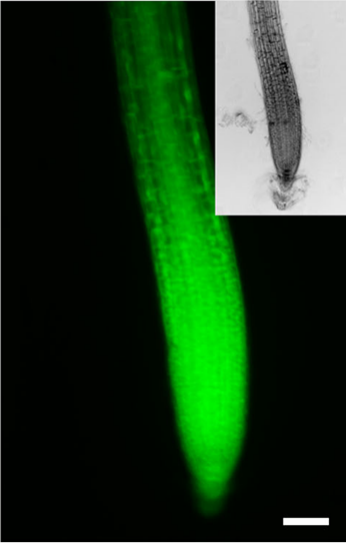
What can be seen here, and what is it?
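This is the tip of a young root, seen in green fluorescence, covering the meristematic area where small cells divide. The root narrows to a rounded end at the bottom, and the whole tip glows bright green, strongest toward the end and fading somewhat further up the root. Faint rows of small, closely packed cells run lengthwise through the glowing tissue, giving it a finely checkered texture. In the bright-field inset the same root shows its files of cells and, at the very end, the loose cells of the root cap.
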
